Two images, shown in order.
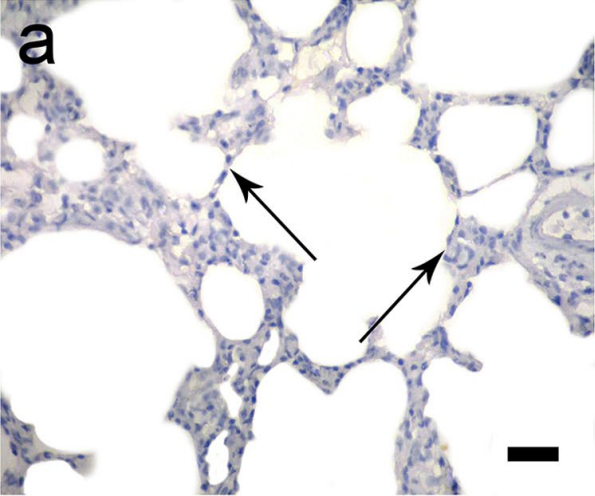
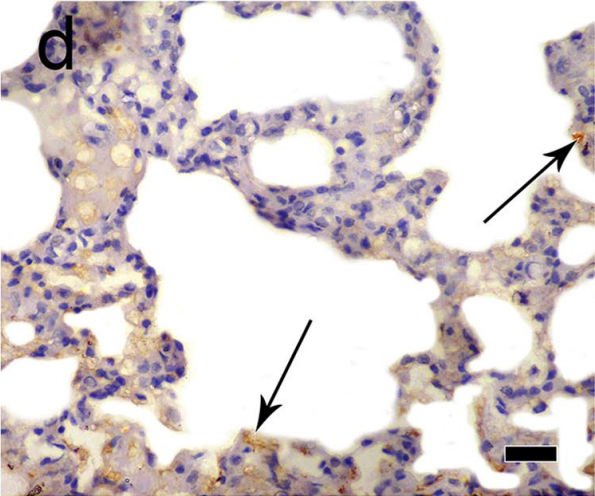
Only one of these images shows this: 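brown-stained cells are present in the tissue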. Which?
The second image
